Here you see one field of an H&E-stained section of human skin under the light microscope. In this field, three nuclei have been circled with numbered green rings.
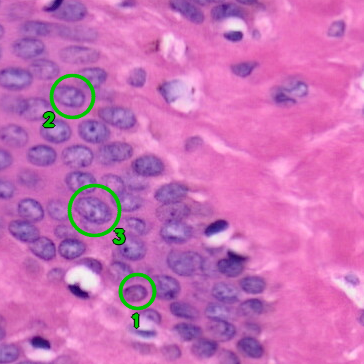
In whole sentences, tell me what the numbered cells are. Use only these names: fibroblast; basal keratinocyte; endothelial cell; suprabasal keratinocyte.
Cell 1 is a basal keratinocyte, cell 2 is a suprabasal keratinocyte and cell 3 is a suprabasal keratinocyte.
